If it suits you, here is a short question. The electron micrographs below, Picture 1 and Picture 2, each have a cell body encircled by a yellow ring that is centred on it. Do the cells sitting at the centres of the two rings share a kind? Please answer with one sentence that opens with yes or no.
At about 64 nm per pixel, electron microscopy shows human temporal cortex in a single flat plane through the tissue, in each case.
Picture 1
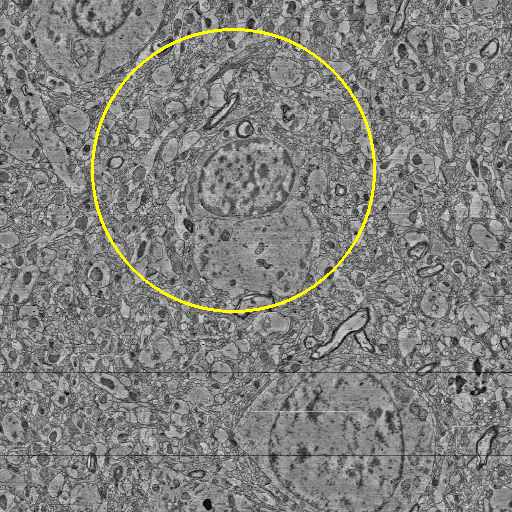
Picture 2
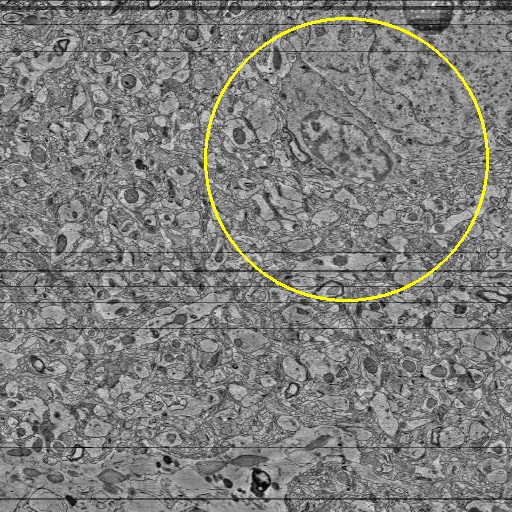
Yes, the two cells sitting at the ring centres share a single kind.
